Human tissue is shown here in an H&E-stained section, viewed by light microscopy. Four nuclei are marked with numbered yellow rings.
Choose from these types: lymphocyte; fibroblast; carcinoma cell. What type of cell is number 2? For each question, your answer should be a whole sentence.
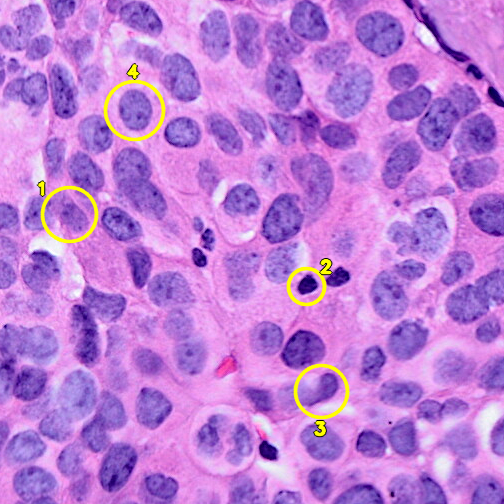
In the tissue shown, cell 2 is a lymphocyte.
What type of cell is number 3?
Number 3 is placed on a carcinoma cell here.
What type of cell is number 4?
Identified as a carcinoma cell is the cell bearing the number 4.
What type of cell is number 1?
The one labeled 1 is a carcinoma cell, to put it simply.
